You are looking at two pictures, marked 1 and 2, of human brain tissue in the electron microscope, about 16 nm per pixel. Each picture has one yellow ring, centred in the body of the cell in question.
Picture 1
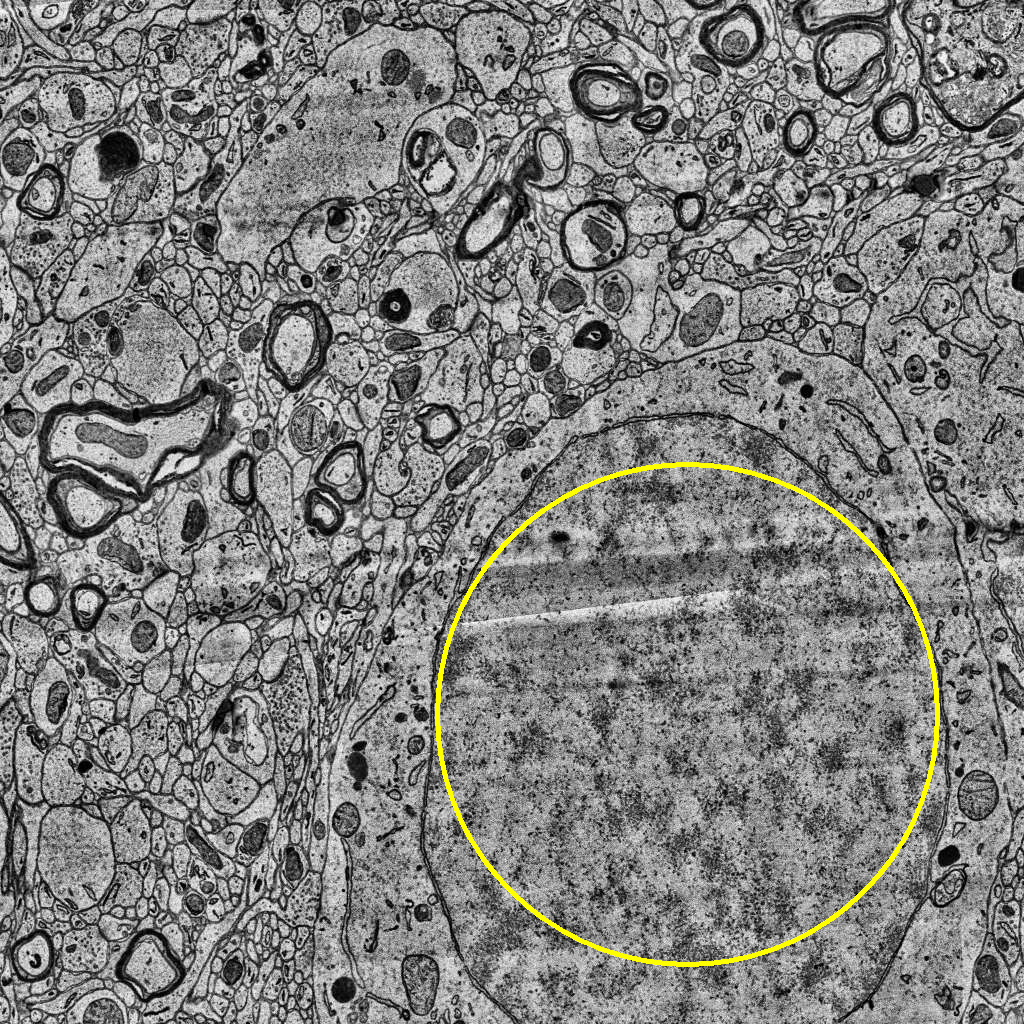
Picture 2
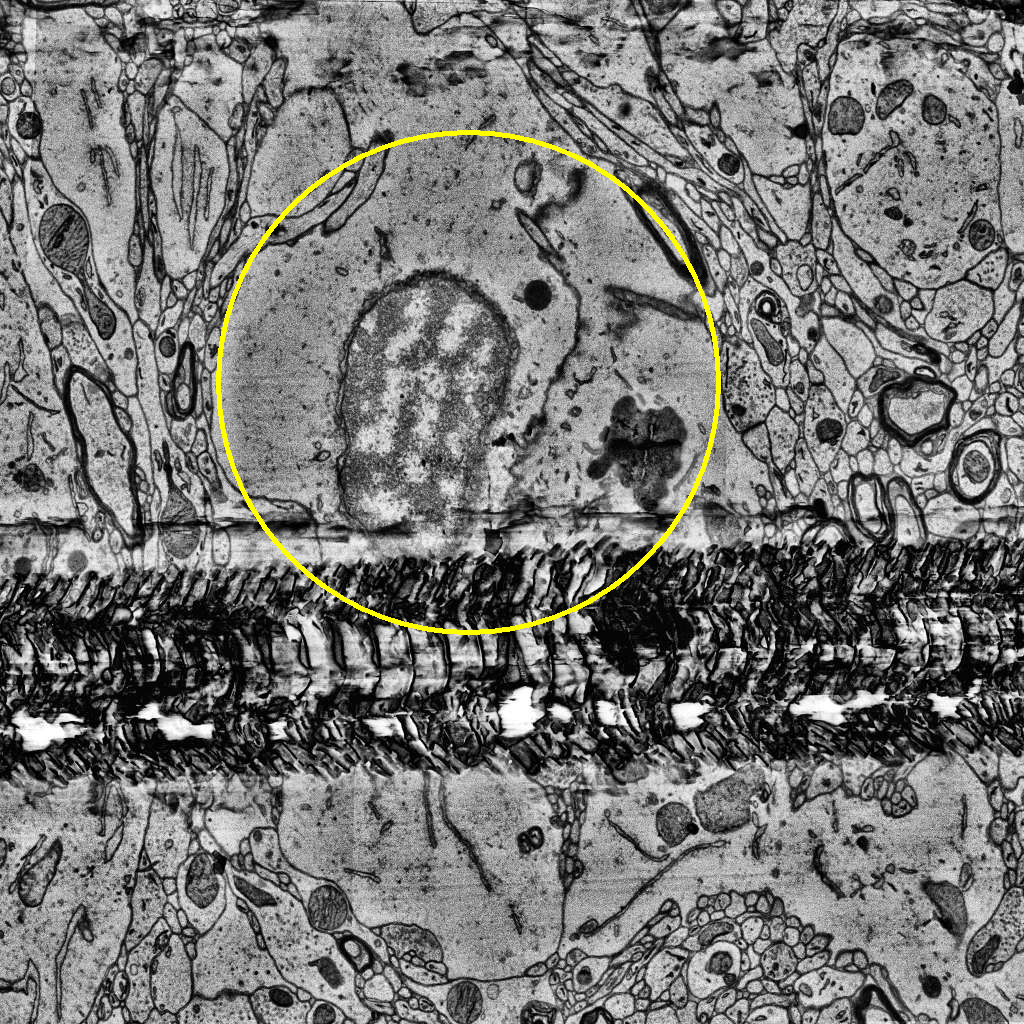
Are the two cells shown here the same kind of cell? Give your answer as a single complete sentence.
No; the cell in picture 1 is a pyramidal neuron, while the one in picture 2 is an astrocyte.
